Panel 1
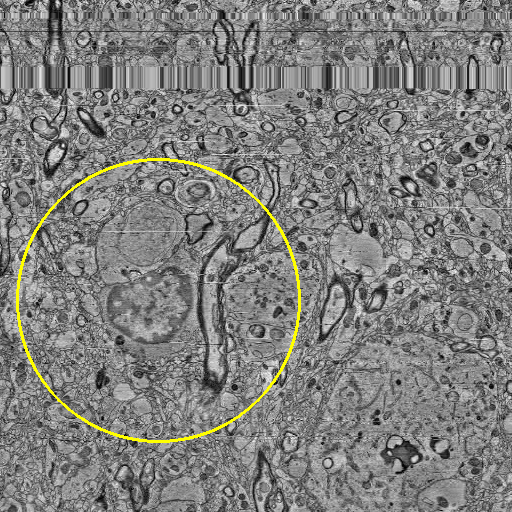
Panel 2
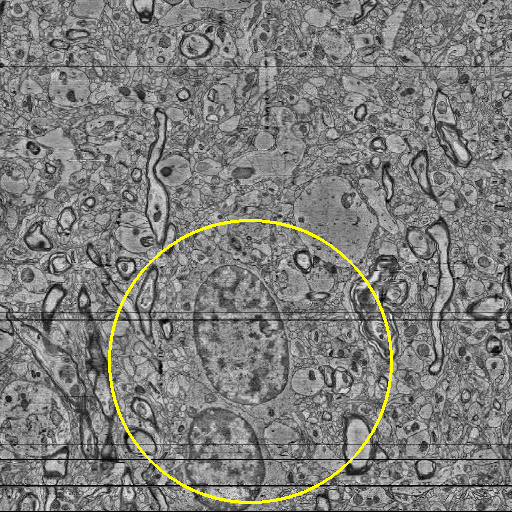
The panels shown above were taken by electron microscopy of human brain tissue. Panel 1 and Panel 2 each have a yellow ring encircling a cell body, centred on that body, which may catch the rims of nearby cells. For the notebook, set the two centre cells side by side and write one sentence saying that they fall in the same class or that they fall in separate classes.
The centred cells of Panel 1 and Panel 2 fall in the same class.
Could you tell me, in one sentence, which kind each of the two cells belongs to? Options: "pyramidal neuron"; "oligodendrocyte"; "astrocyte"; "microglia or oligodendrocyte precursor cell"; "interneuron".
The ring centre holds an oligodendrocyte in each of the two pictures.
